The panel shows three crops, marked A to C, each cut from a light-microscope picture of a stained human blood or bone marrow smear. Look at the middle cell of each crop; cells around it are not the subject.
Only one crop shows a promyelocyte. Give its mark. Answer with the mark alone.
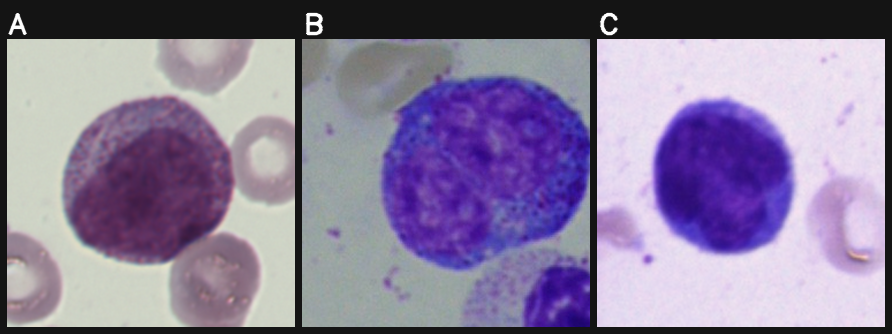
A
